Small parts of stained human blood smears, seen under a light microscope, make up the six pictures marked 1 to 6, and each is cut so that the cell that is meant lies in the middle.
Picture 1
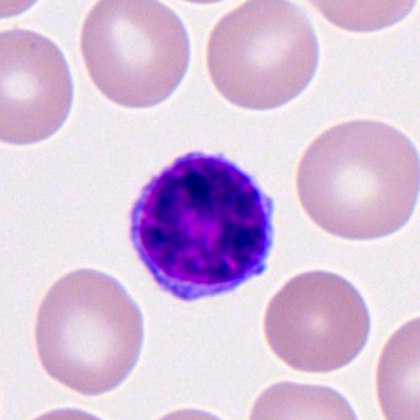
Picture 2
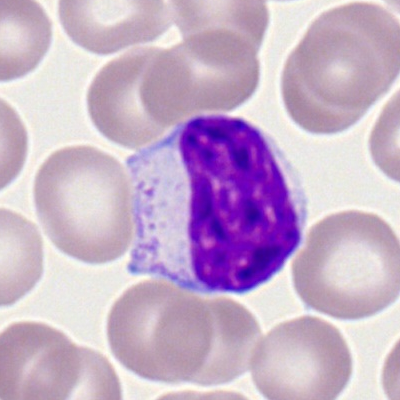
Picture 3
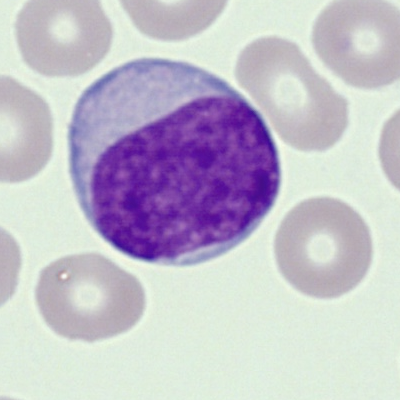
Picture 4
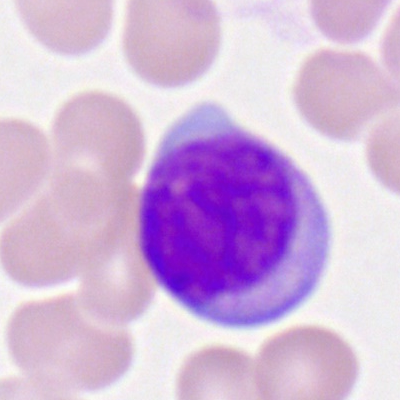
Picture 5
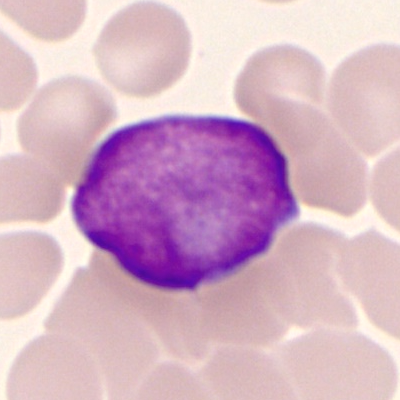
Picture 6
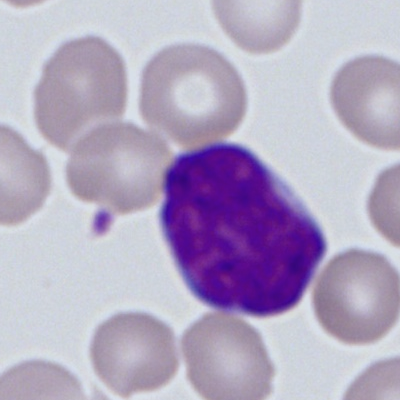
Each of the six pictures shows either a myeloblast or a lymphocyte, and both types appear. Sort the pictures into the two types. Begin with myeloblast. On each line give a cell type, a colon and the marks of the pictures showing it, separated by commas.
myeloblast: 3, 4, 5, 6
lymphocyte: 1, 2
